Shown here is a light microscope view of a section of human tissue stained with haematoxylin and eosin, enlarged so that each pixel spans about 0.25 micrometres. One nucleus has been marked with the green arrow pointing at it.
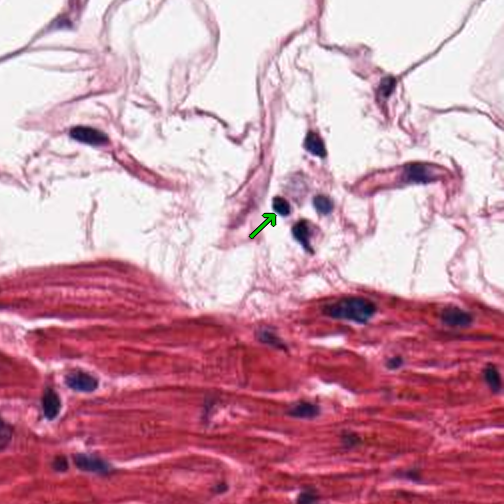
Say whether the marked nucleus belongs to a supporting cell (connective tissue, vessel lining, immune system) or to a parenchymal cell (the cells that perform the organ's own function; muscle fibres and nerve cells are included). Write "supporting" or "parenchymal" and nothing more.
supporting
